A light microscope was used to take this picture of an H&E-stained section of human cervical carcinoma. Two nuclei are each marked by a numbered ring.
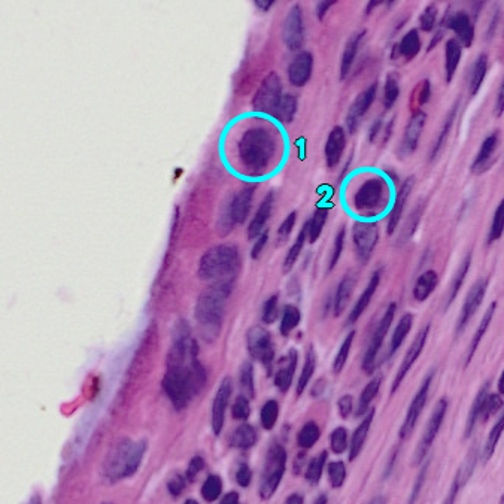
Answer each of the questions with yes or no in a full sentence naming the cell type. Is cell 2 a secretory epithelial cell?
No, a secretory epithelial cell is not what cell 2 is; it is a lymphocyte.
